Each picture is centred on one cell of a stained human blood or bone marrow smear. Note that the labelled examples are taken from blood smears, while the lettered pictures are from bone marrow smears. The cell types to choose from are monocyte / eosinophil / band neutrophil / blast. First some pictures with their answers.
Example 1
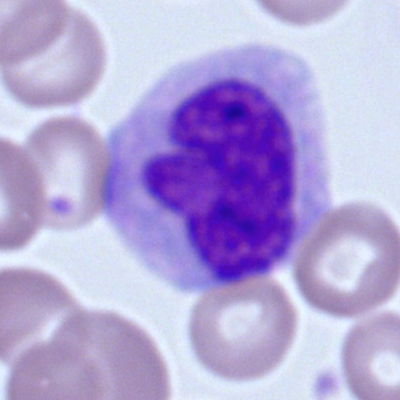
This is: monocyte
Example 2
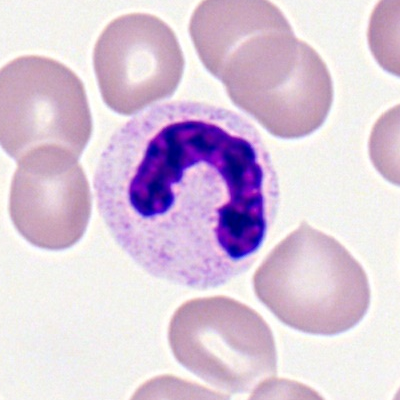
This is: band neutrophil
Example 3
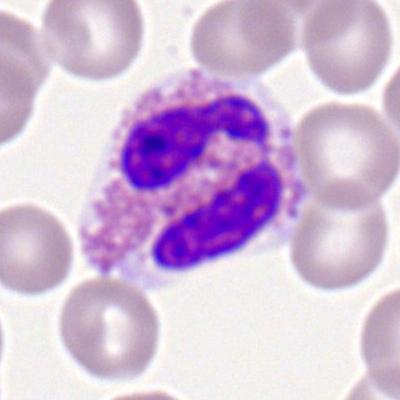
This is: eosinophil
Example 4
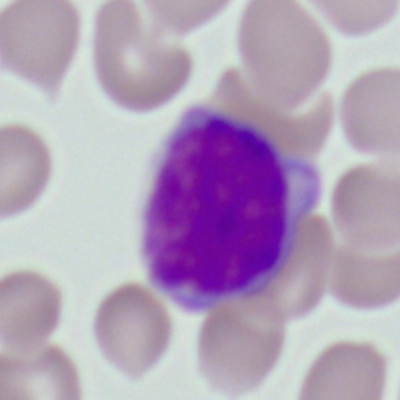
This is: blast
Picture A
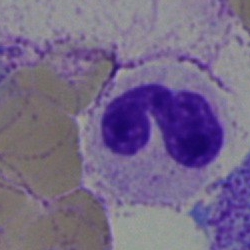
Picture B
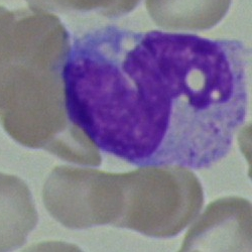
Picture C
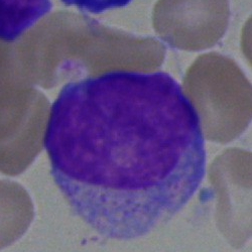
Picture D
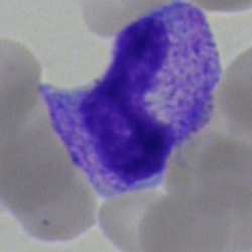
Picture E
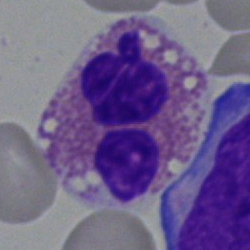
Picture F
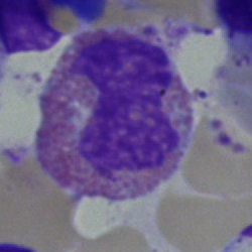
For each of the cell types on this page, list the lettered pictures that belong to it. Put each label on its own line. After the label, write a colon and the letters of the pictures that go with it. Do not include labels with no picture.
monocyte: B
eosinophil: E, F
band neutrophil: A, D
blast: C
